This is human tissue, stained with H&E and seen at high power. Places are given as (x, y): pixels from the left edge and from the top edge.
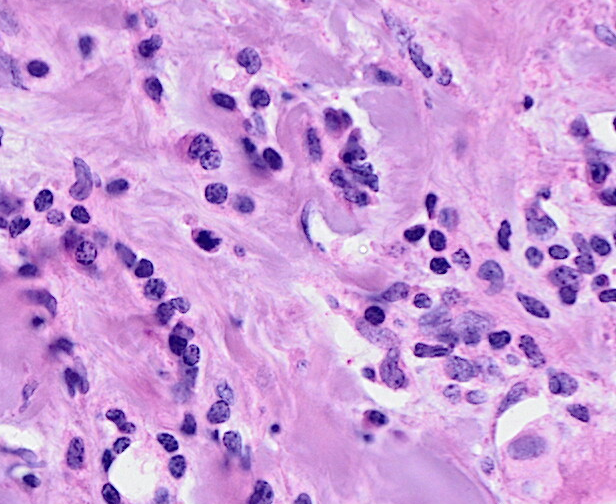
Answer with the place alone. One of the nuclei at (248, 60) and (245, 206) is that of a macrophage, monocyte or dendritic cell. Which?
(248, 60)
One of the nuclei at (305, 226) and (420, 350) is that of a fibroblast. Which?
(305, 226)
